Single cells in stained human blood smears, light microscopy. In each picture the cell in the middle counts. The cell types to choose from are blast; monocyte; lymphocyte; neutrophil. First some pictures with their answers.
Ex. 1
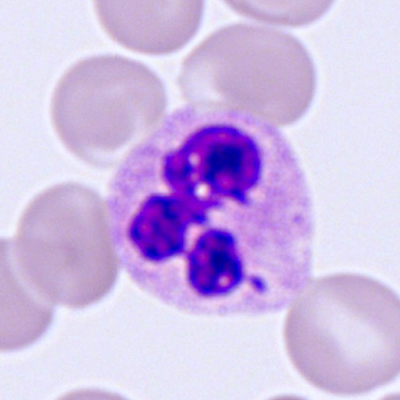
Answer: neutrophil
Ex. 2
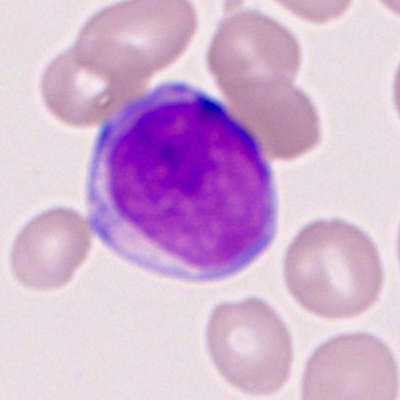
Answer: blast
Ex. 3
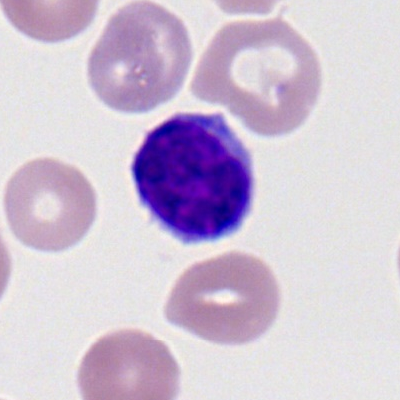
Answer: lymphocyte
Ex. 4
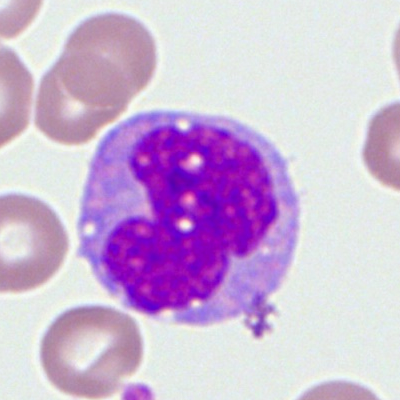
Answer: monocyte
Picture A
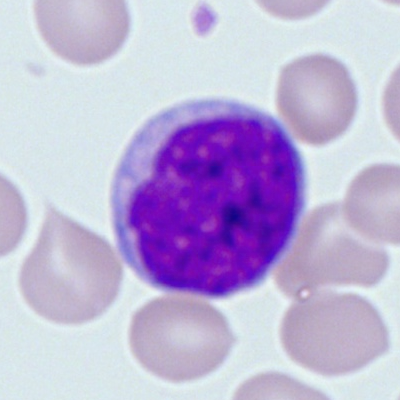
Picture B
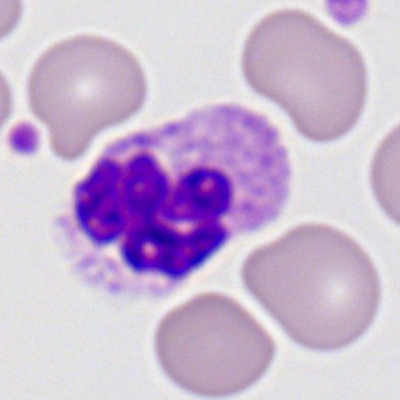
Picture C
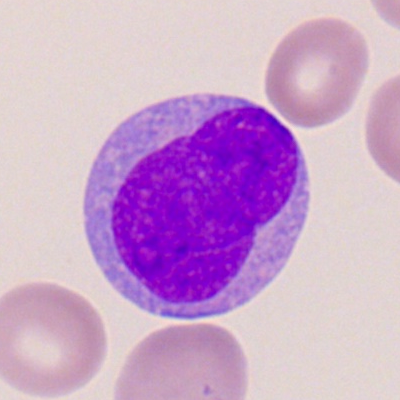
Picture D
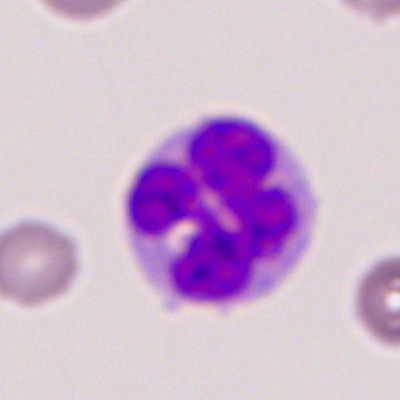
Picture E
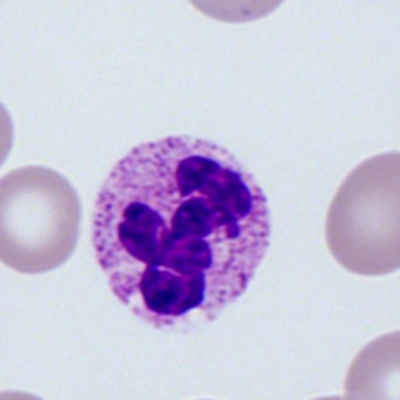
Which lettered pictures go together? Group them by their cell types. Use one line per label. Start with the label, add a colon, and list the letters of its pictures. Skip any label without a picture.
blast: A, C
monocyte: D
neutrophil: B, E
